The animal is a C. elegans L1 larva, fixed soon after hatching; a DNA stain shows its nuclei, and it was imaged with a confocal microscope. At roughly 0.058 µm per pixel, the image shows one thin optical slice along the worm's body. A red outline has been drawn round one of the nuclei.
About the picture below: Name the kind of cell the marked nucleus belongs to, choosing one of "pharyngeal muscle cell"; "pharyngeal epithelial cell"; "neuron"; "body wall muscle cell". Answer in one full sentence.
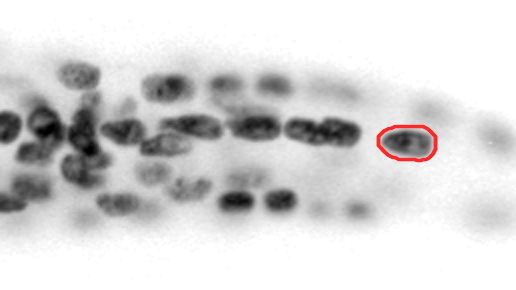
It is the nucleus of a pharyngeal epithelial cell.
